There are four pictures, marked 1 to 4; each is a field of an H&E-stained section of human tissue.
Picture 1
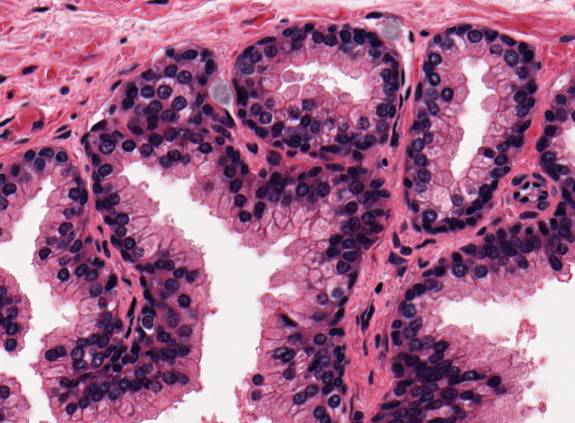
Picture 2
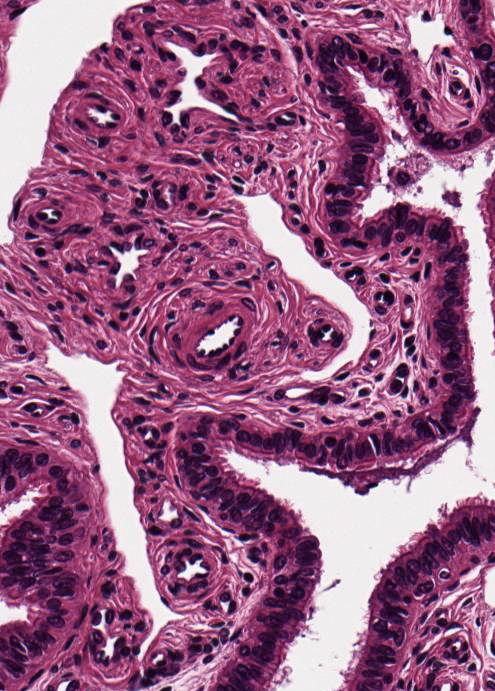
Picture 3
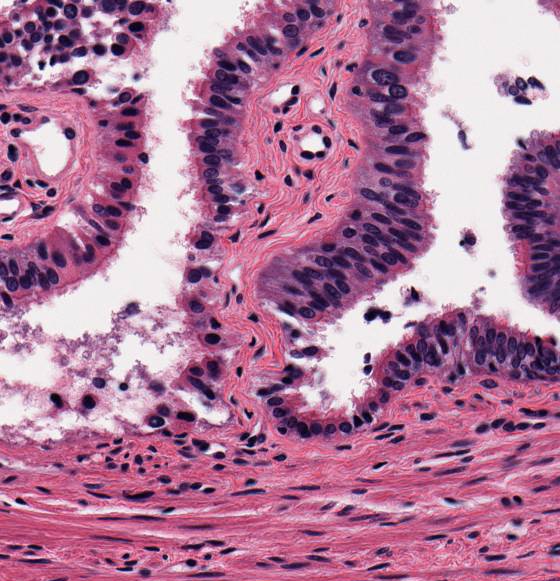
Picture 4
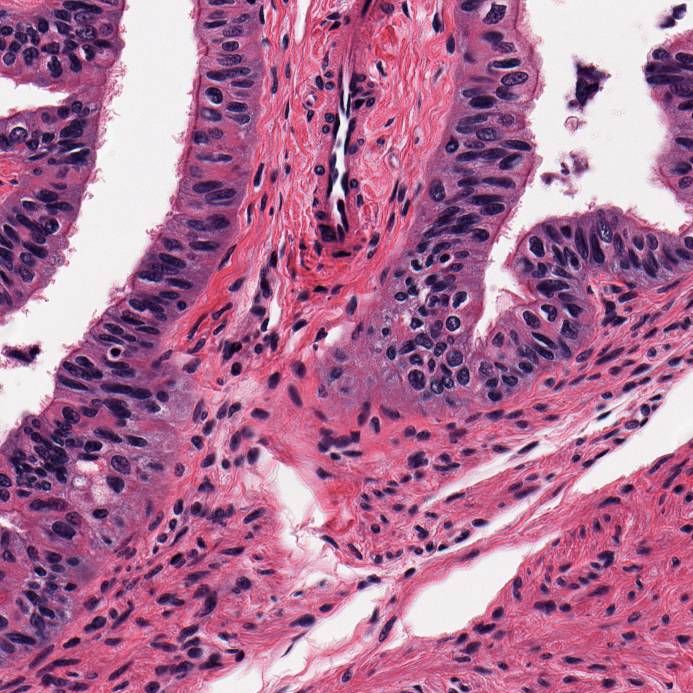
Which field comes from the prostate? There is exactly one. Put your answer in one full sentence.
The one that comes from the prostate is picture 1.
